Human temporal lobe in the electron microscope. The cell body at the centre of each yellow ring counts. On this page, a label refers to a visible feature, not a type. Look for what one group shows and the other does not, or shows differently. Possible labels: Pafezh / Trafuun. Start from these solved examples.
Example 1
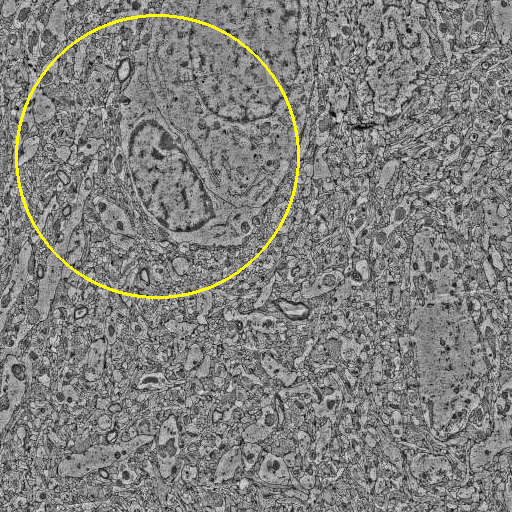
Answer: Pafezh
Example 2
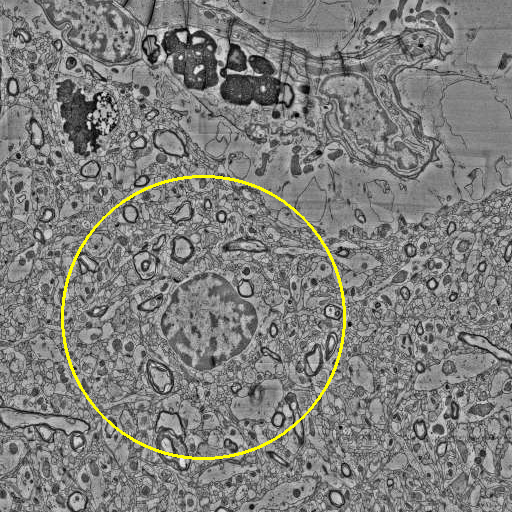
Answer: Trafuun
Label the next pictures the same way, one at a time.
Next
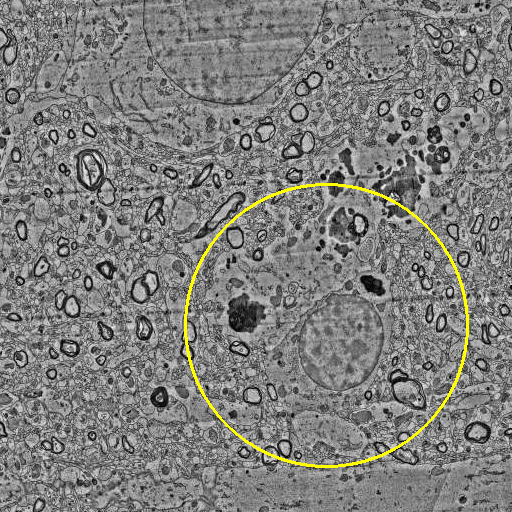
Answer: Trafuun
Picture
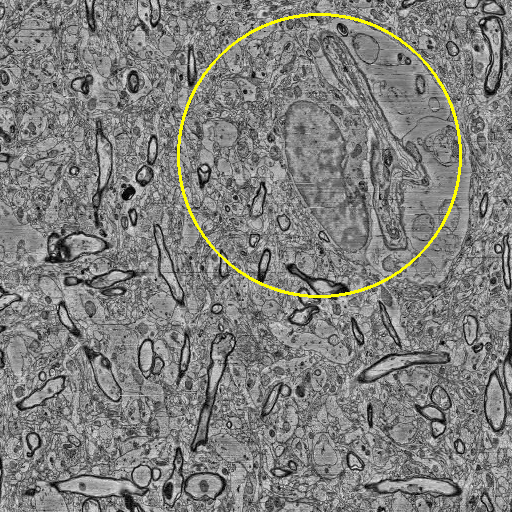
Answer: Pafezh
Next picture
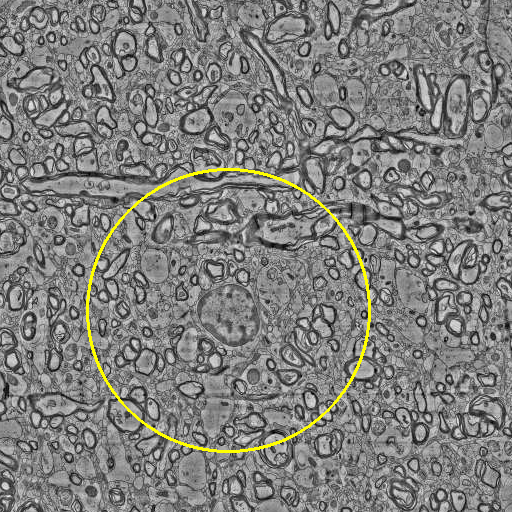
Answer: Trafuun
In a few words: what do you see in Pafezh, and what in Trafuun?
In Pafezh: clearly elongated nuclei. In Trafuun: round or nearly round nuclei.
